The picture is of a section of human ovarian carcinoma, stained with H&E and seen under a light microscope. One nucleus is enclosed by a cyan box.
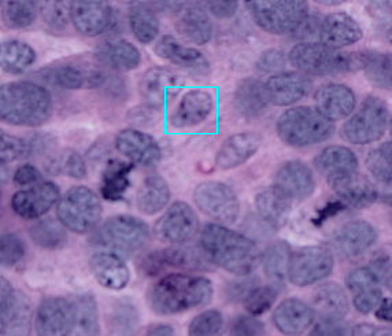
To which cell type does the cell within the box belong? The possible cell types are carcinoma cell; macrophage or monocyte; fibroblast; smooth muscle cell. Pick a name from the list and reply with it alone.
macrophage or monocyte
